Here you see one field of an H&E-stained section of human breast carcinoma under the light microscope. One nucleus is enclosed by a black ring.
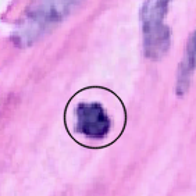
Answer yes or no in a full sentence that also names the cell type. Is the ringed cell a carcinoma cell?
No, the ringed cell counts as a lymphocyte rather than as a carcinoma cell.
